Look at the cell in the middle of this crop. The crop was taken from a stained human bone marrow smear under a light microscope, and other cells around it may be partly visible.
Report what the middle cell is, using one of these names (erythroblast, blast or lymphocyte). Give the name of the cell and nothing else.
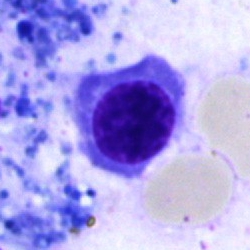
erythroblast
